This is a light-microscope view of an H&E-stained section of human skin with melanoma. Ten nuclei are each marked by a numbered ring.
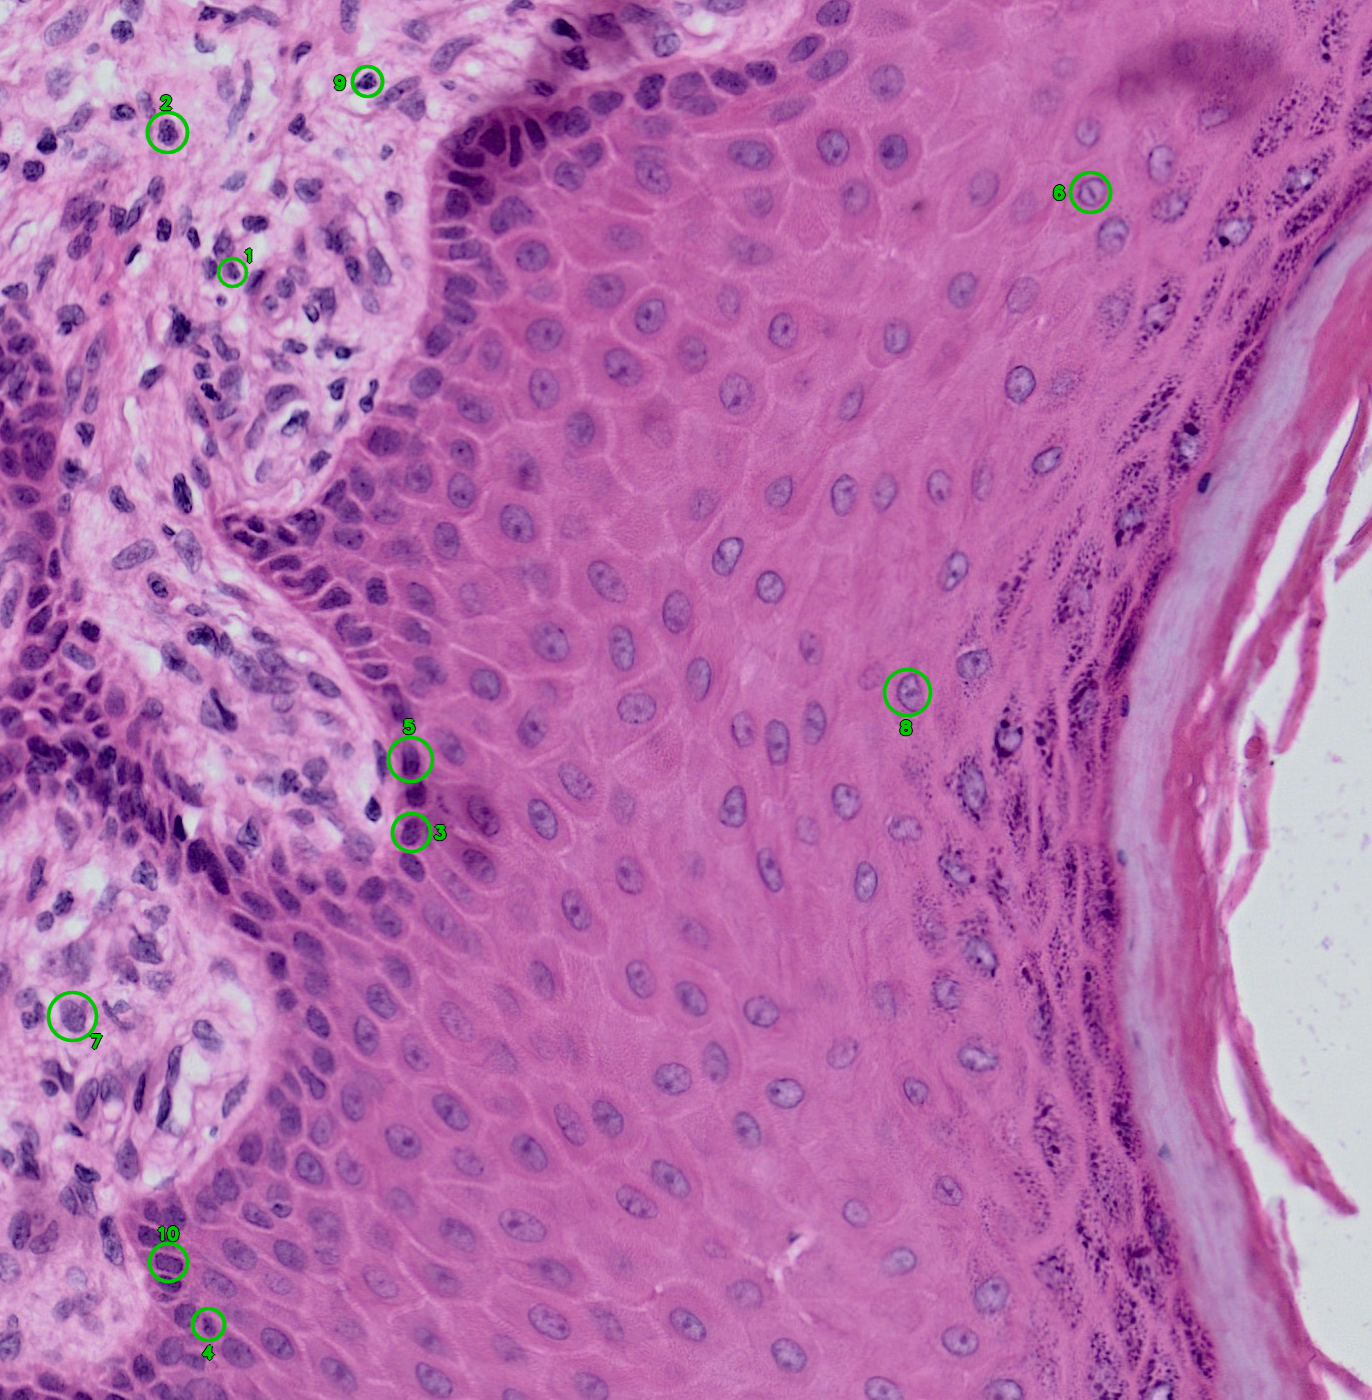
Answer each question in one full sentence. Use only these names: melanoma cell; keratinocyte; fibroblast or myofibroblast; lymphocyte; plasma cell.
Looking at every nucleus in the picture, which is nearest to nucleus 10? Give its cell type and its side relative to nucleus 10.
Just below nucleus 10 lies the nearest nucleus, which belongs to a keratinocyte.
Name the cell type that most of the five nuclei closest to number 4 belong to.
The majority of the five nuclei closest to number 4 belong to keratinocytes.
